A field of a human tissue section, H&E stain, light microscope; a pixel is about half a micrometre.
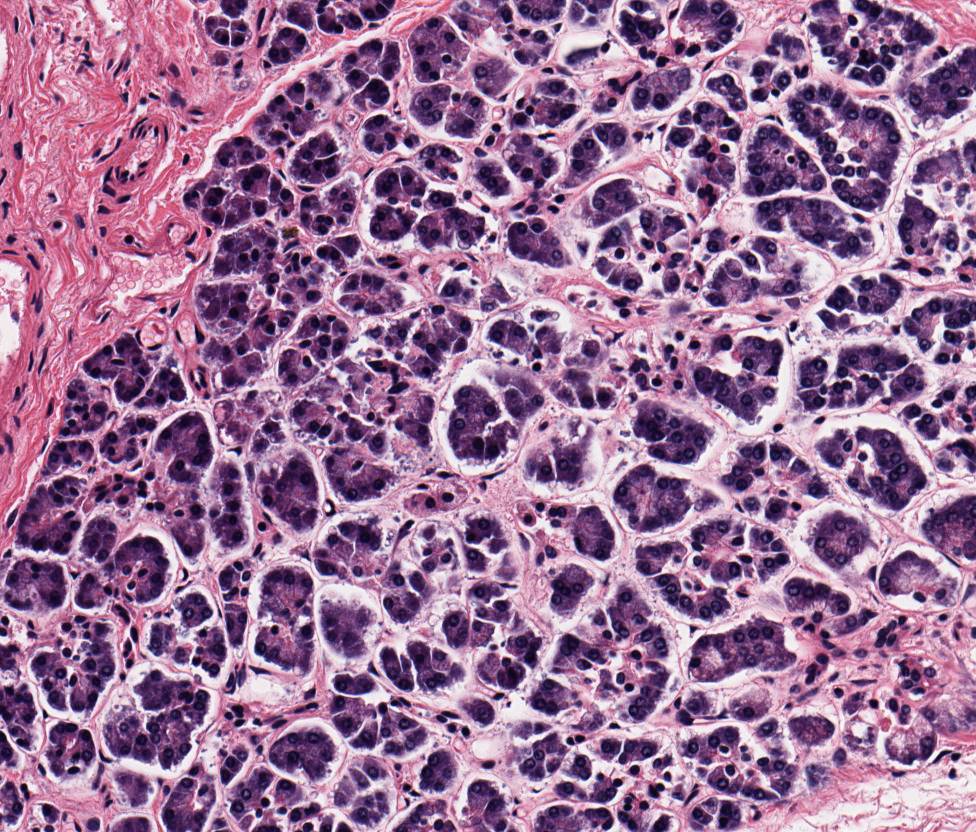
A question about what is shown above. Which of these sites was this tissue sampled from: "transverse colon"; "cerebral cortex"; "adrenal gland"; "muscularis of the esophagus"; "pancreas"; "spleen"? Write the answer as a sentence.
The site this tissue was sampled from is the pancreas.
